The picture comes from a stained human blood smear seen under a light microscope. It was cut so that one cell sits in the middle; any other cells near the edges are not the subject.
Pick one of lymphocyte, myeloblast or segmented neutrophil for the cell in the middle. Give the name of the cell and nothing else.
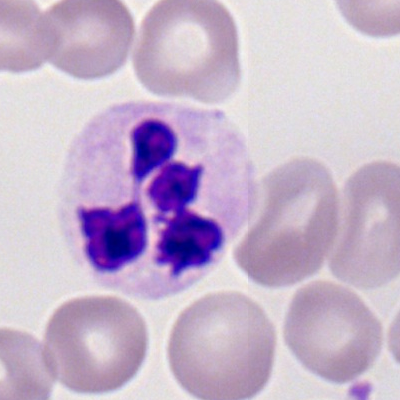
segmented neutrophil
